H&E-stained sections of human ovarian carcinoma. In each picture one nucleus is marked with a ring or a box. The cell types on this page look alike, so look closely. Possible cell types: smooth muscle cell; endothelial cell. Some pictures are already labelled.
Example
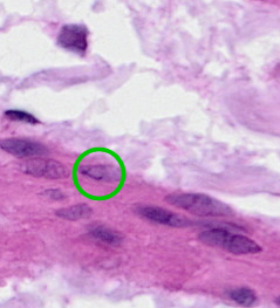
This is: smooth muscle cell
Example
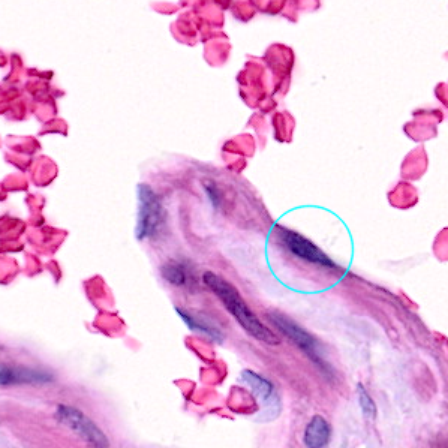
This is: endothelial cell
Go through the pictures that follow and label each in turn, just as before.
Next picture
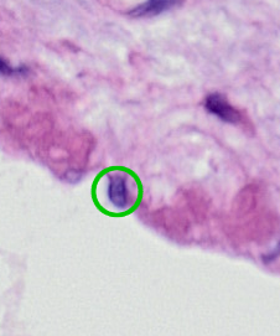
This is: endothelial cell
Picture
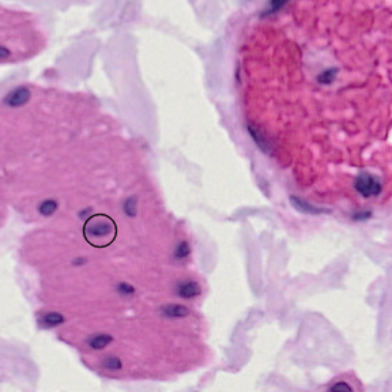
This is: smooth muscle cell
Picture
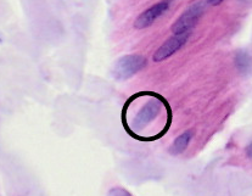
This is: smooth muscle cell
